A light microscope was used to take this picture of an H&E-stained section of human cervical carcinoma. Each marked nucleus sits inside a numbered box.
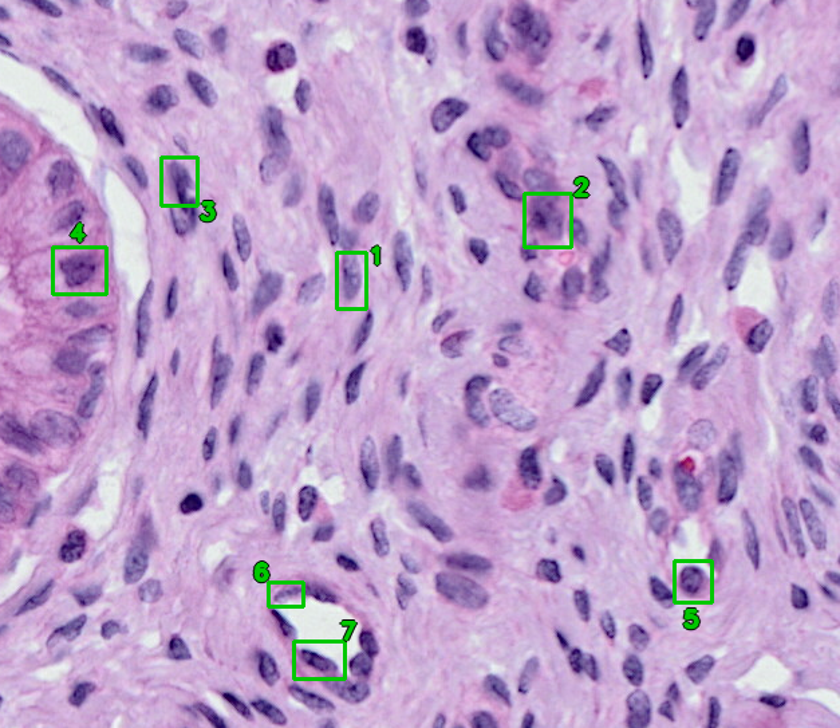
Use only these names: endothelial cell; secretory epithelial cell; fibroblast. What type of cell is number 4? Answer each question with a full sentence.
What the number 4 marks in this field is a secretory epithelial cell.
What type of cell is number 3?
Belonging to a fibroblast is the nucleus that carries the number 3.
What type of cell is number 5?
It is as an endothelial cell that the cell numbered 5 is identified.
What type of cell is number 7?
The marked cell bearing number 7 is an endothelial cell.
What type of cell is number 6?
What the number 6 marks in this field is an endothelial cell.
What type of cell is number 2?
Cell 2 in the field of view is an endothelial cell.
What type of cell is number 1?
Number 1 among the marked cells is a fibroblast.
